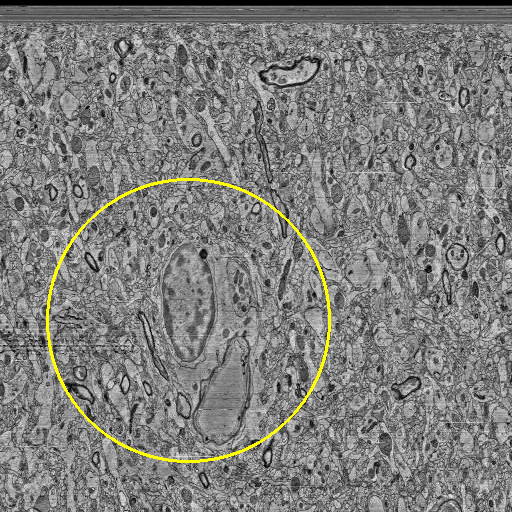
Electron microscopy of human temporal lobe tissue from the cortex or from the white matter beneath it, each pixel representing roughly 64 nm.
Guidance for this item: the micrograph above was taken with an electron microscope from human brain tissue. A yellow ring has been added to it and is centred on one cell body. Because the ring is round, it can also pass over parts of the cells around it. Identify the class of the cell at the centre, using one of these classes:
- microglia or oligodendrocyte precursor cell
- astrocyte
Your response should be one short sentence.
The ring surrounds the body of a microglial cell or oligodendrocyte precursor cell.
